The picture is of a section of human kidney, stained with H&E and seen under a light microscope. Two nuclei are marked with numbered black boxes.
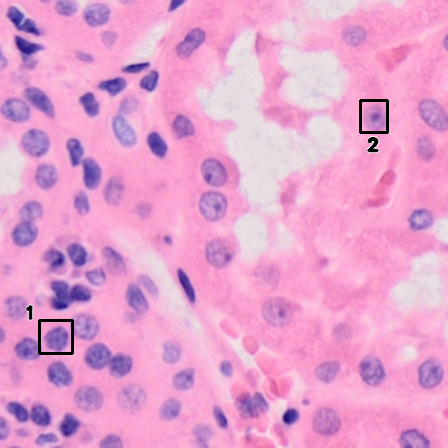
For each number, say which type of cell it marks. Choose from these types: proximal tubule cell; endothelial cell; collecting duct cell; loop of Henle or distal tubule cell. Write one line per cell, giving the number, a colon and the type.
1: loop of Henle or distal tubule cell
2: proximal tubule cell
